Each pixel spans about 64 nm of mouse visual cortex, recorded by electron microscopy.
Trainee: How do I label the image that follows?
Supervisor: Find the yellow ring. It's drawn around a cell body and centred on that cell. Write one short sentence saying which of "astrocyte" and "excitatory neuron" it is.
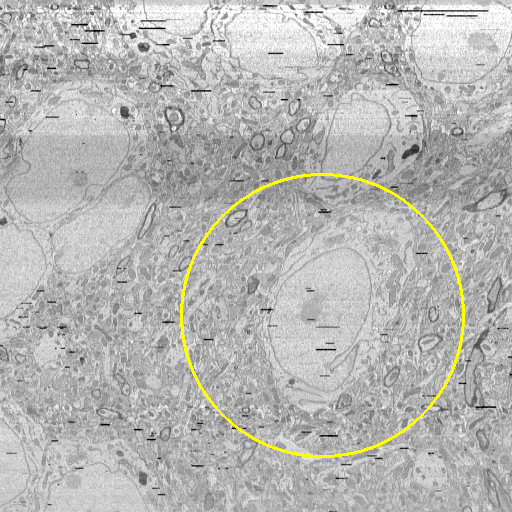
This is the cell body of an excitatory neuron.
